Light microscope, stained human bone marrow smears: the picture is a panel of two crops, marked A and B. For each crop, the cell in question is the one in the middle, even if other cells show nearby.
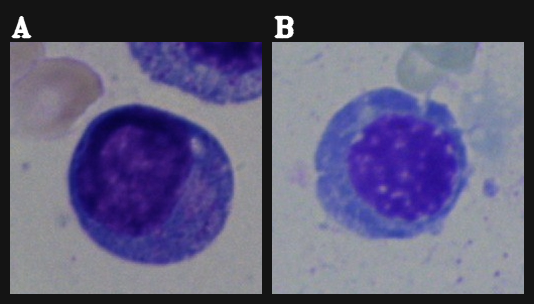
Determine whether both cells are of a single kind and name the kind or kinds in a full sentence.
No, crop A and crop B contain, respectively, a blast and an erythroblast.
